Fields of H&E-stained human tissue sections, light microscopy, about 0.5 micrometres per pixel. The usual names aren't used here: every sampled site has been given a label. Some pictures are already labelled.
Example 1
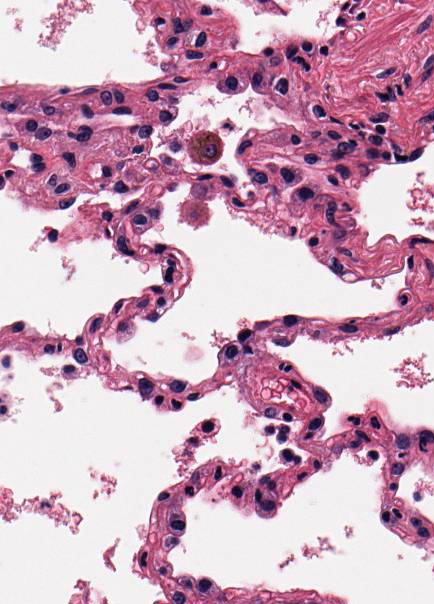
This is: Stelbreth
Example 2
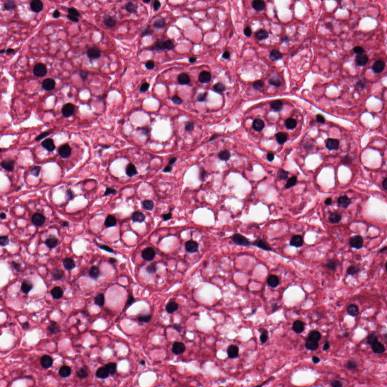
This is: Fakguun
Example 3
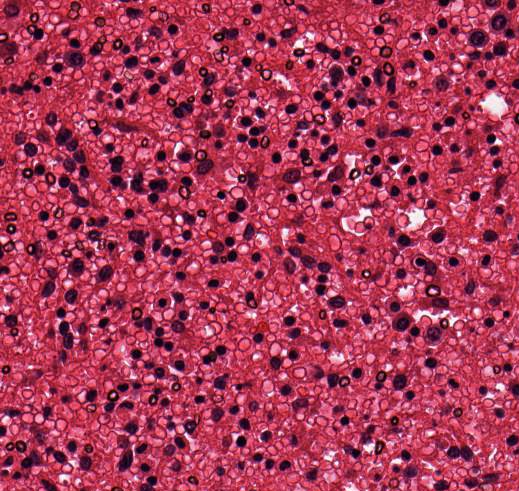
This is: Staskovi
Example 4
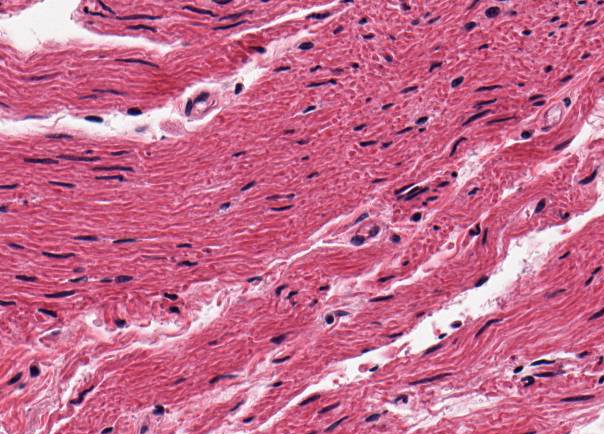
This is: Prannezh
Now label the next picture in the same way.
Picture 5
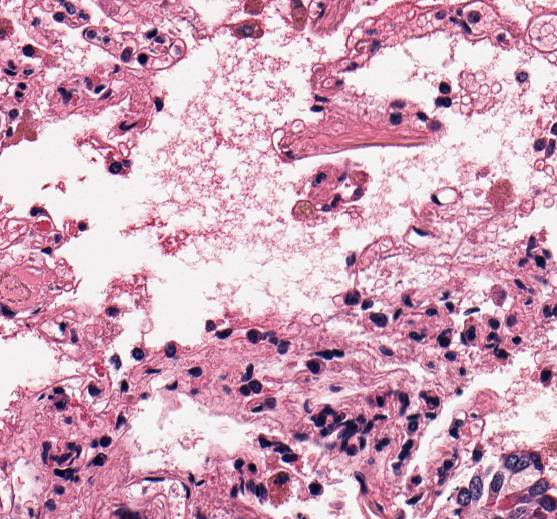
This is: Stelbreth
